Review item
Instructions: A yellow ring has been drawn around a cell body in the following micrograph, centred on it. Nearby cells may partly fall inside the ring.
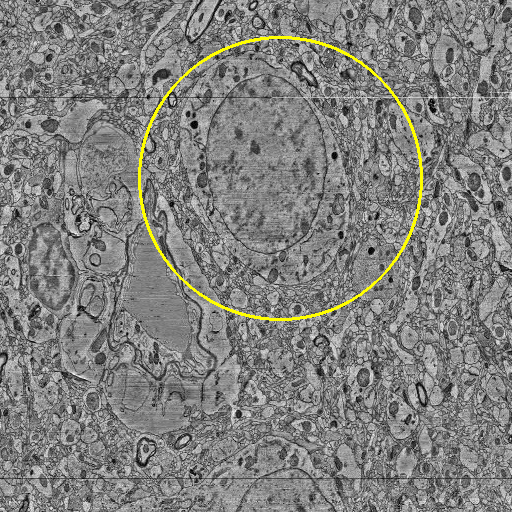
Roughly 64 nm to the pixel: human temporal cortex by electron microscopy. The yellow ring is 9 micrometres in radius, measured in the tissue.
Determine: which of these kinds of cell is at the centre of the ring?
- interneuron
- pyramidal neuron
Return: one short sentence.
The cell body in the middle of the ring is that of a pyramidal neuron.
